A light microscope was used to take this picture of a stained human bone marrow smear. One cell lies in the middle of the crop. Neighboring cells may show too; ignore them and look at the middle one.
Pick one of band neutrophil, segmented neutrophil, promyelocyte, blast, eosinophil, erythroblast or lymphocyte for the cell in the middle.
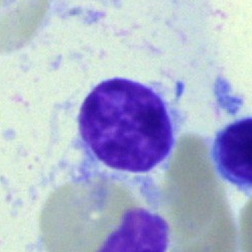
lymphocyte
